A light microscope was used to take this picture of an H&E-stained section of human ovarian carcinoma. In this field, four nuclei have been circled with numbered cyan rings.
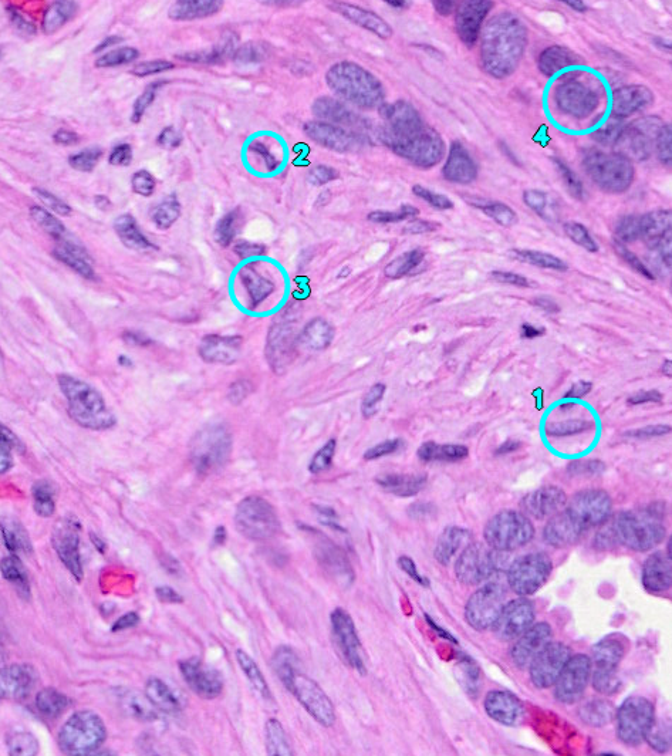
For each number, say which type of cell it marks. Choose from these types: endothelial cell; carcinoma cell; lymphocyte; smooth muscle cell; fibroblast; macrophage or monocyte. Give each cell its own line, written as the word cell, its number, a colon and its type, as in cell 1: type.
cell 1: fibroblast
cell 2: fibroblast
cell 3: fibroblast
cell 4: carcinoma cell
